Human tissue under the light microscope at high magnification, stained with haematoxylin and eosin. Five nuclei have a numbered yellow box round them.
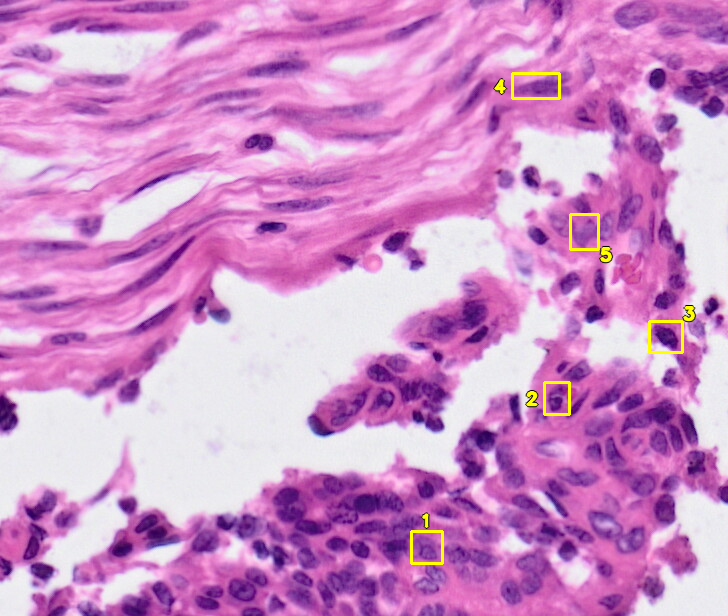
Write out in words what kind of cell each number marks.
Cell 1 is a carcinoma cell, cell 2 is an endothelial cell, cell 3 is a macrophage or monocyte, cell 4 is a fibroblast and cell 5 is an endothelial cell.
